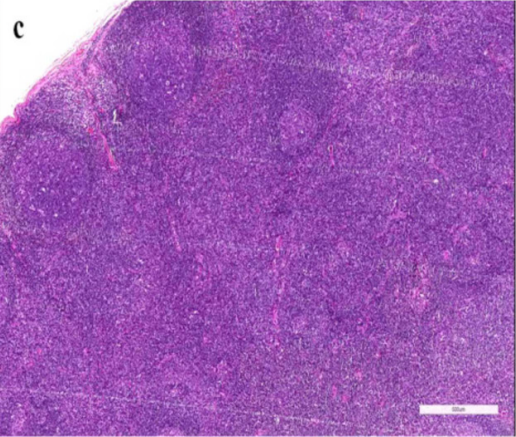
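A lymph node with reactive hyperplasia, seen at low power, in which the normal architecture is kept. A thin pink capsule curves along the upper left edge. Beneath it, the dense purple lymphoid tissue holds several large rounded follicles. Each follicle has a slightly paler centre, ringed by darker, densely packed small lymphocytes. Between the follicles lie evenly cellular purple zones crossed by small pink vessels. Single cells are too small to resolve at this magnification.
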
